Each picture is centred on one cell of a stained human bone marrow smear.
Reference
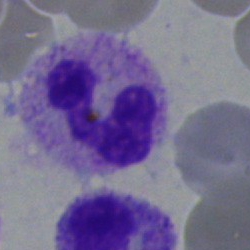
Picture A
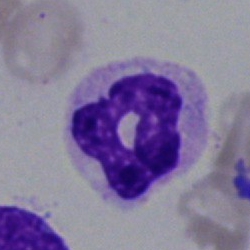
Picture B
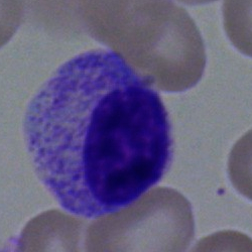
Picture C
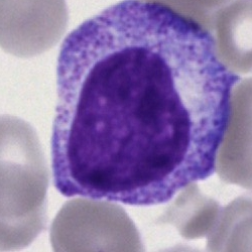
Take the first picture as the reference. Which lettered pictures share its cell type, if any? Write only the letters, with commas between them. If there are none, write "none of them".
A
